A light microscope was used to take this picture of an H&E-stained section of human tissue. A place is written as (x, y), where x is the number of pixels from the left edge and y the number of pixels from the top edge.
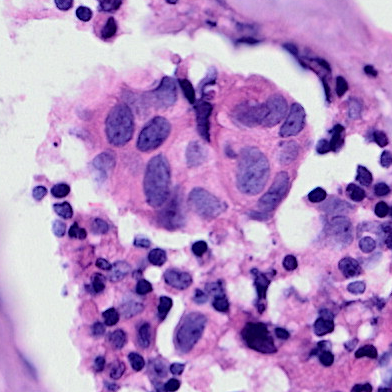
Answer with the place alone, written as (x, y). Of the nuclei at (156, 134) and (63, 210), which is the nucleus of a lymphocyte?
(63, 210)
